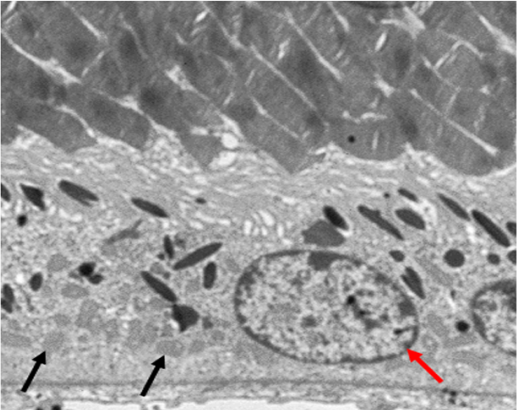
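This view shows the retinal pigment epithelium with the tips of the photoreceptor outer segments lying above it. The epithelial cell holds a large, round nucleus with finely granular chromatin and a clear envelope. Elongated and round black pigment granules lie mostly in the upper cytoplasm. Grey oval mitochondria are scattered through the basal cytoplasm.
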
